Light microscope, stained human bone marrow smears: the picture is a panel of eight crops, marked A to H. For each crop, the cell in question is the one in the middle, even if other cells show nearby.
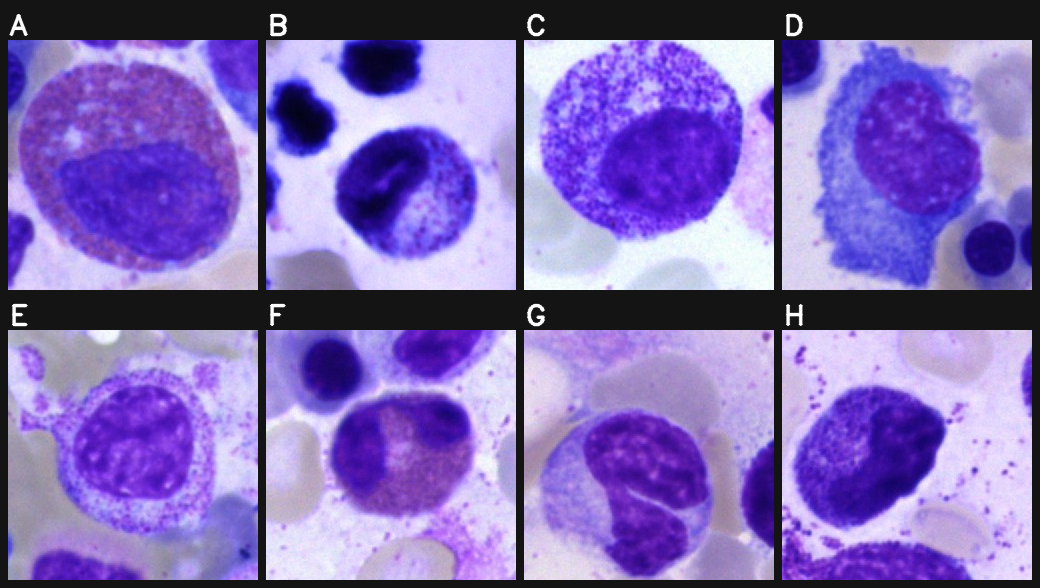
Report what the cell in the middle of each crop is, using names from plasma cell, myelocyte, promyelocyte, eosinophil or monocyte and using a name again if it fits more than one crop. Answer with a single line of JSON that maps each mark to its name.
{"A": "eosinophil", "B": "promyelocyte", "C": "myelocyte", "D": "plasma cell", "E": "myelocyte", "F": "eosinophil", "G": "monocyte", "H": "promyelocyte"}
